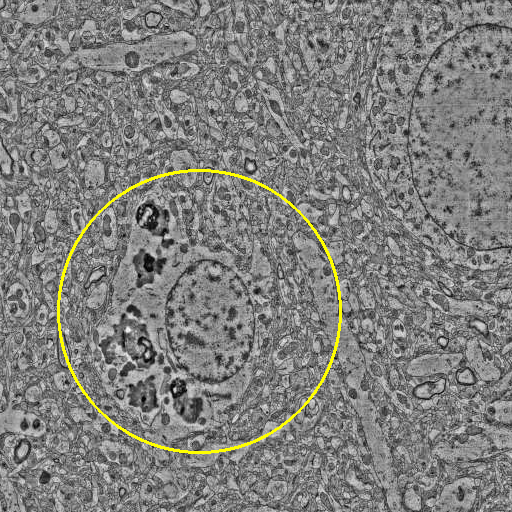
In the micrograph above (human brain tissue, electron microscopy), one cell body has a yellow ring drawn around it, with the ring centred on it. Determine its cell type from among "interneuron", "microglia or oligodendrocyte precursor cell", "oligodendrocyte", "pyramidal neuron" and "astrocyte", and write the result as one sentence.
The cell whose body is ringed is an astrocyte.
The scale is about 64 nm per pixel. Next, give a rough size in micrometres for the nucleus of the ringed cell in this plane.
In this plane the nucleus measures roughly 8 by 6 micrometres.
